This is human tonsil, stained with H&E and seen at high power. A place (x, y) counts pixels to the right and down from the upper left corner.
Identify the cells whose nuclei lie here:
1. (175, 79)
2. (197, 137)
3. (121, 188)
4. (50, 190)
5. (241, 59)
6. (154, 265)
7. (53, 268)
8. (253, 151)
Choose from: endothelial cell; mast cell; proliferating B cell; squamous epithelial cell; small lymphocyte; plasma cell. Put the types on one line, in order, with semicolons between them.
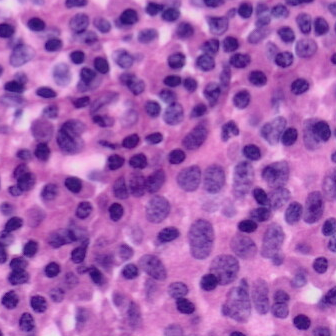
plasma cell; squamous epithelial cell; squamous epithelial cell; plasma cell; plasma cell; squamous epithelial cell; plasma cell; plasma cell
